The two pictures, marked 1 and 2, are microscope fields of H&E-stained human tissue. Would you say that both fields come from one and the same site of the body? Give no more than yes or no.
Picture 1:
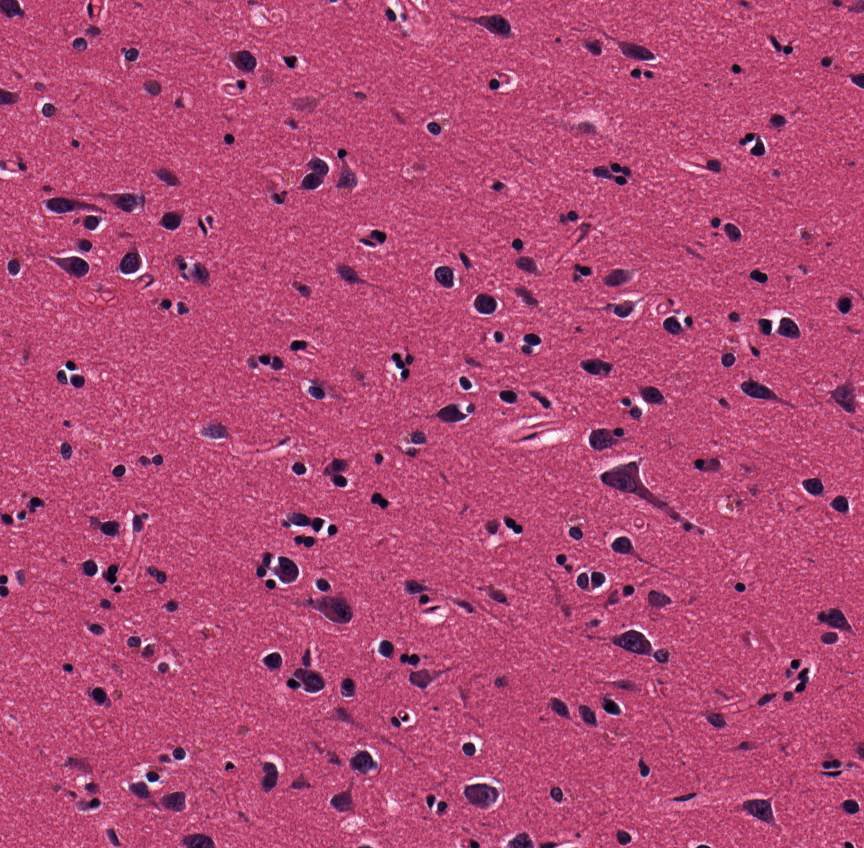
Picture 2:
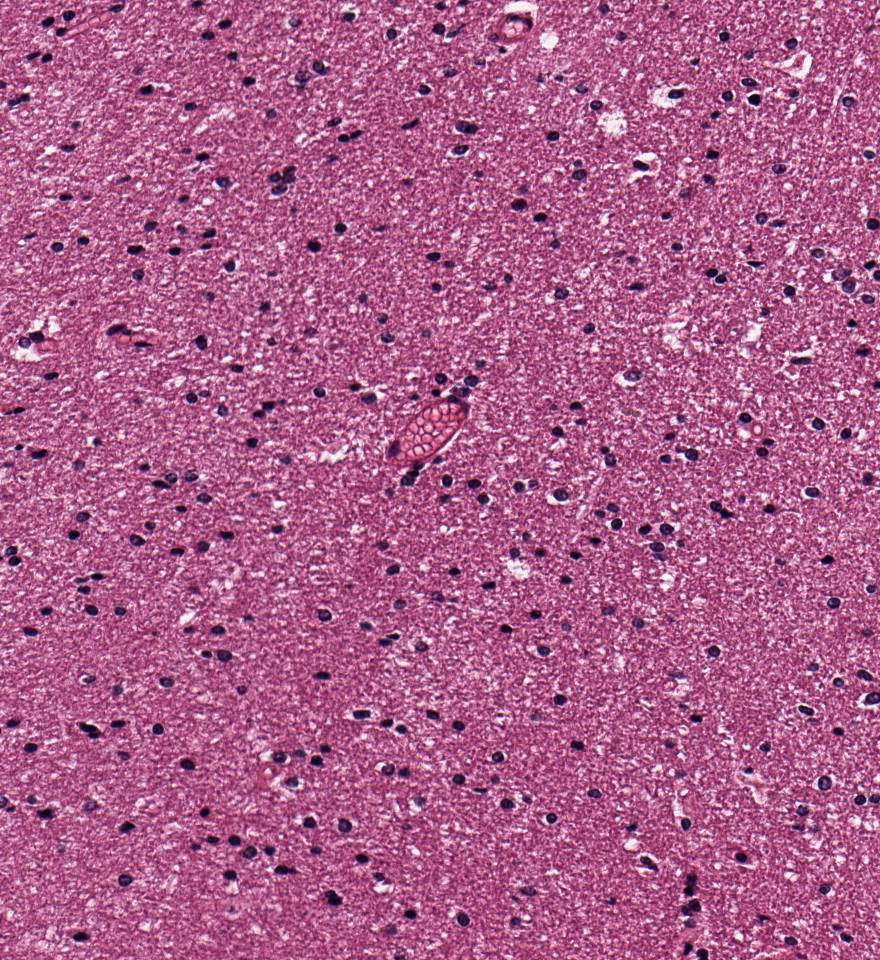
yes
